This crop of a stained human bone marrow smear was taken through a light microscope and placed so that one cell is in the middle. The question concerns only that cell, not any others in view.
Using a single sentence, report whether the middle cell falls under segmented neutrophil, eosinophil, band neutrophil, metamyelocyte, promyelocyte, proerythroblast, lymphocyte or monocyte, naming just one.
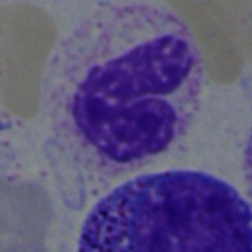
The cell the crop is centered on is a band neutrophil.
